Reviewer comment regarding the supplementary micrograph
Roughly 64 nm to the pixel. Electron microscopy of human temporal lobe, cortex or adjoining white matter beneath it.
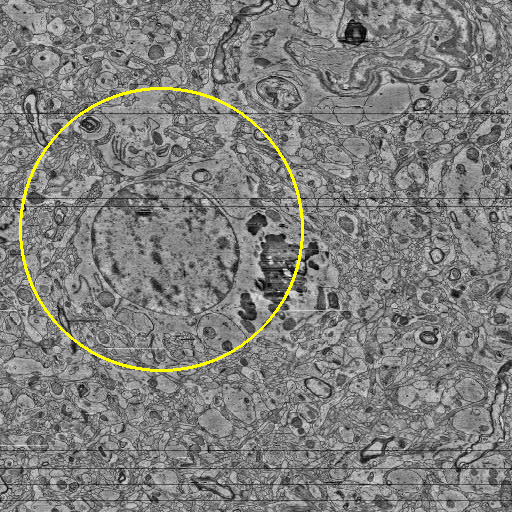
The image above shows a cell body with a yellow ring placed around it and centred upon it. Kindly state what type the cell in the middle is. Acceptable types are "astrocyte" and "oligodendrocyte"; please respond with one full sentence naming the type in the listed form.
In the image above, the cell on which the yellow ring is centred is an astrocyte.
